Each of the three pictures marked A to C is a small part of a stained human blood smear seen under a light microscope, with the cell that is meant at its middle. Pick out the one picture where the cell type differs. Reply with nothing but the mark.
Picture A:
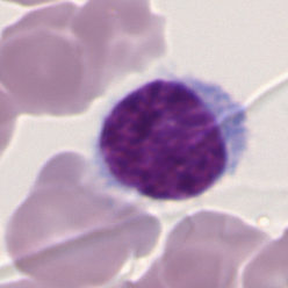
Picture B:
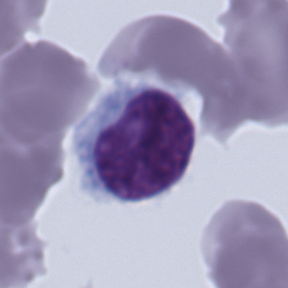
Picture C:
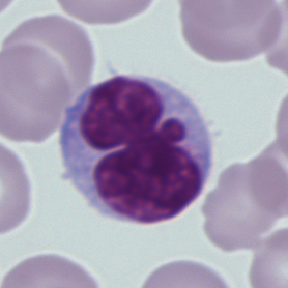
C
